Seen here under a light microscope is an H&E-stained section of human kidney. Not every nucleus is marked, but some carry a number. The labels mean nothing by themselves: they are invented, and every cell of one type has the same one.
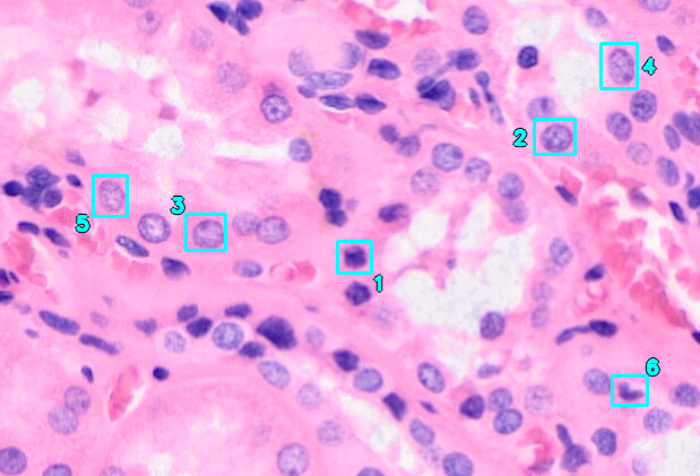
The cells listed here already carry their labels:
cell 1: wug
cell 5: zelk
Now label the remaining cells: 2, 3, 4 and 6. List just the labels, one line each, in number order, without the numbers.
wug
zelk
wug
wug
